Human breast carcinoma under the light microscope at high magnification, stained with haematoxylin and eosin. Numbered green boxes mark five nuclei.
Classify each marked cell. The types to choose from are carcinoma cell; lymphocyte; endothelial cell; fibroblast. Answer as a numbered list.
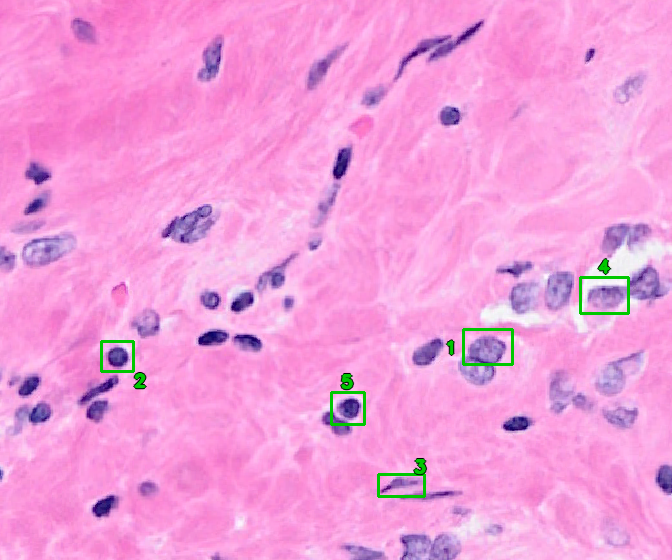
1. carcinoma cell
2. lymphocyte
3. fibroblast
4. carcinoma cell
5. lymphocyte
